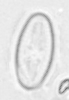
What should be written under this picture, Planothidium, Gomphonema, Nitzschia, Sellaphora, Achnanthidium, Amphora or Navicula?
Sellaphora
